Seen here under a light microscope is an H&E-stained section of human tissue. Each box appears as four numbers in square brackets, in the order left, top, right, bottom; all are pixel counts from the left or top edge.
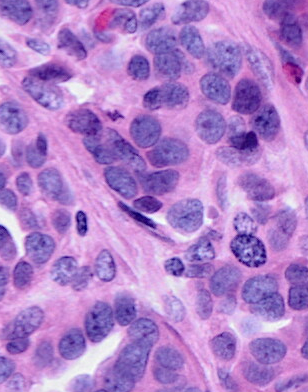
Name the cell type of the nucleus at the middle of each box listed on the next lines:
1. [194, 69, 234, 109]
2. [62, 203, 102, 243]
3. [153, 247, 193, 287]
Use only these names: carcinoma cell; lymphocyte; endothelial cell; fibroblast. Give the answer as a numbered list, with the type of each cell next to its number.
1. carcinoma cell
2. lymphocyte
3. lymphocyte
